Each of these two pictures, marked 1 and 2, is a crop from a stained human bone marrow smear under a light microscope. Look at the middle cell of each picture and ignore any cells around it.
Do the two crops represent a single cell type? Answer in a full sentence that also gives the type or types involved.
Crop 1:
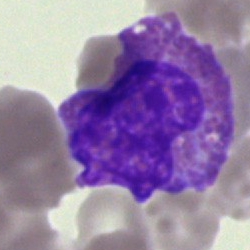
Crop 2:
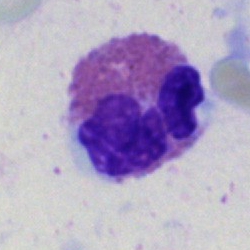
Yes, the cells that the two crops centre on are eosinophils.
